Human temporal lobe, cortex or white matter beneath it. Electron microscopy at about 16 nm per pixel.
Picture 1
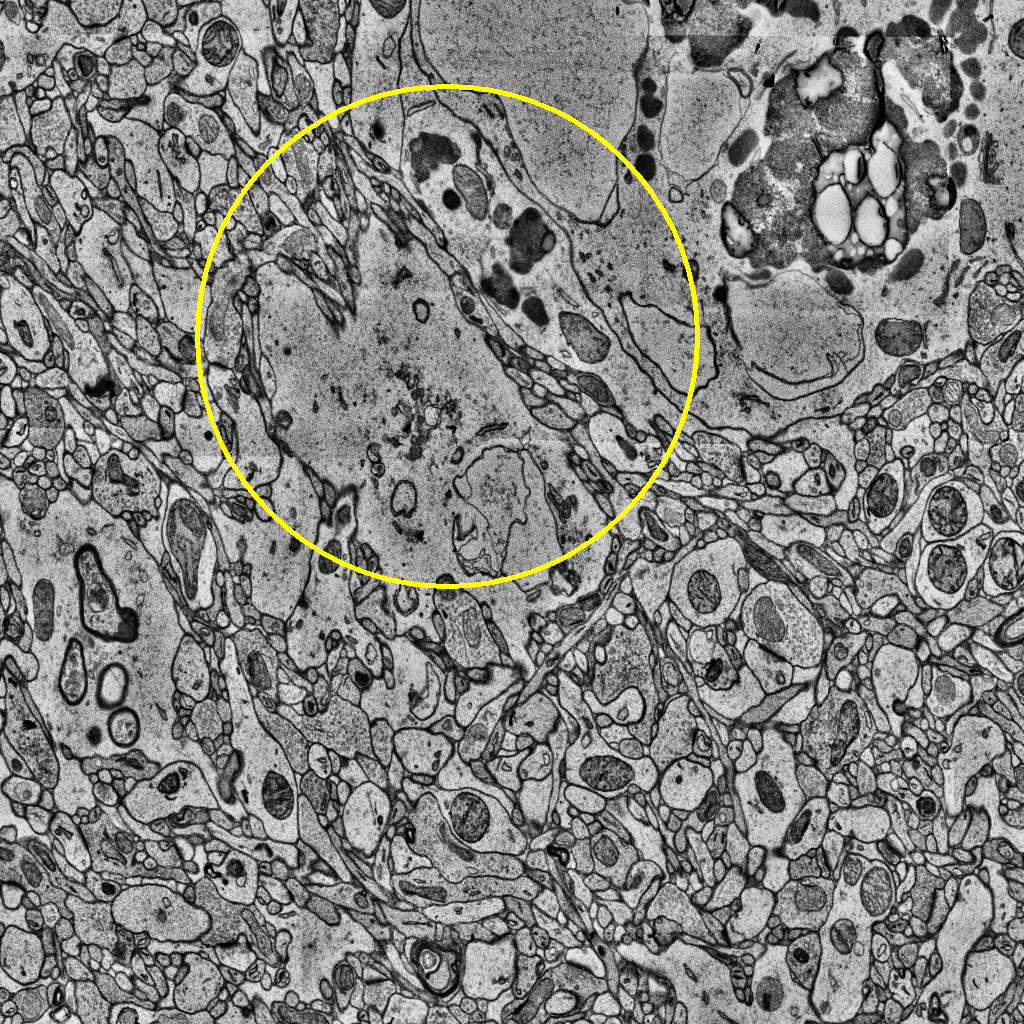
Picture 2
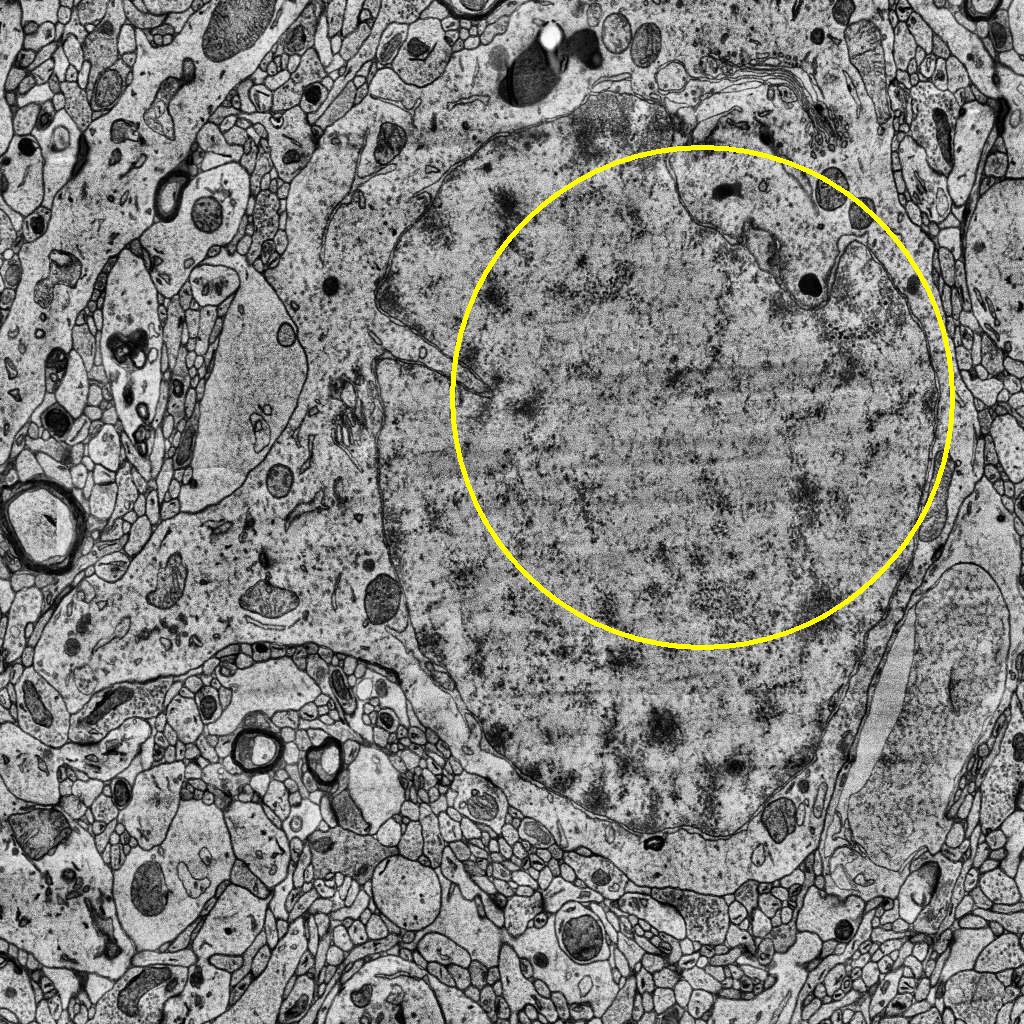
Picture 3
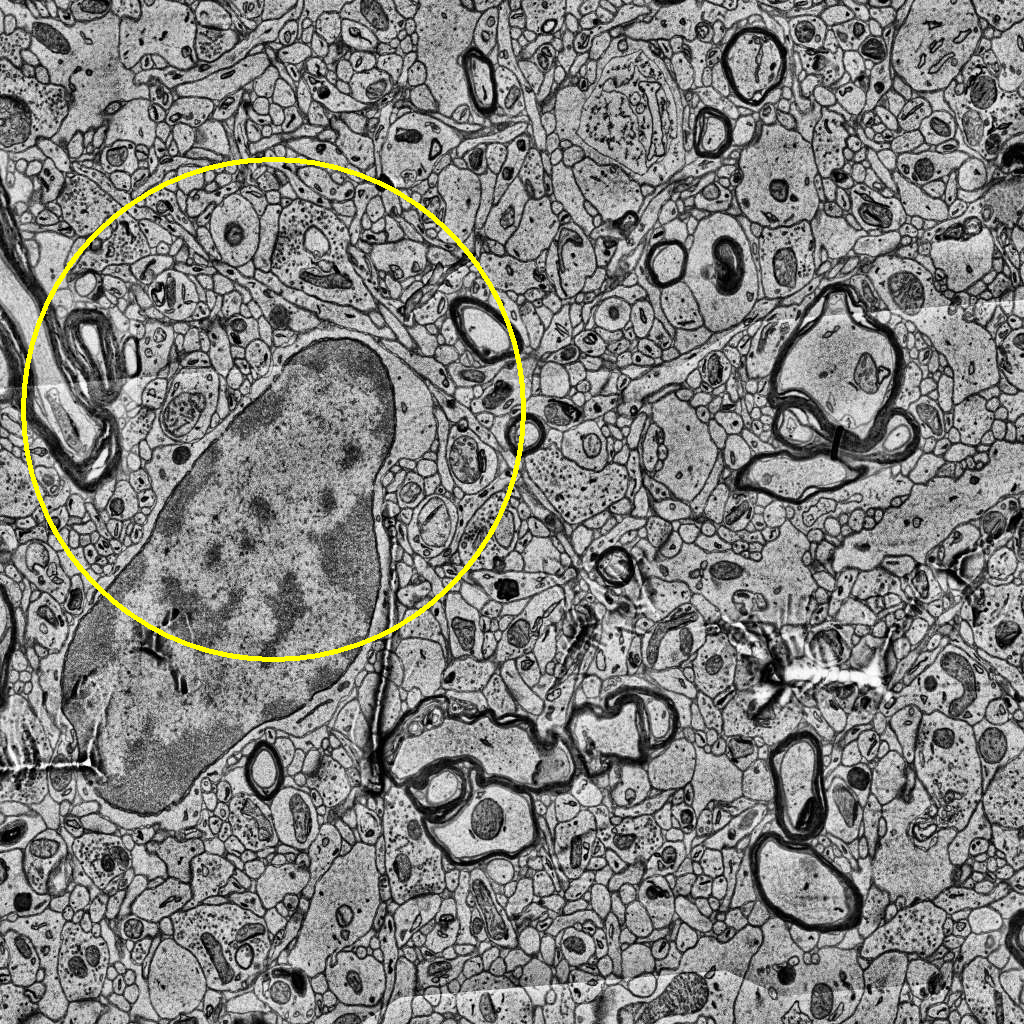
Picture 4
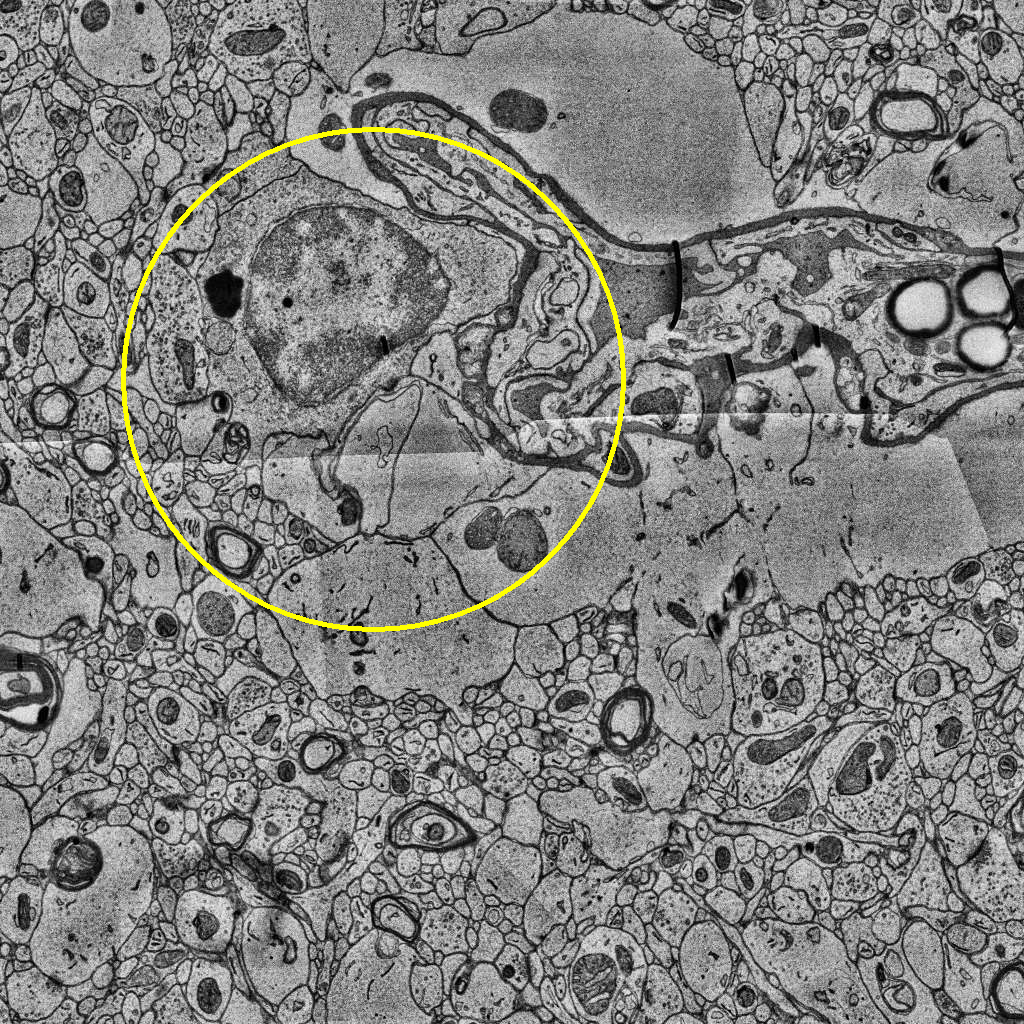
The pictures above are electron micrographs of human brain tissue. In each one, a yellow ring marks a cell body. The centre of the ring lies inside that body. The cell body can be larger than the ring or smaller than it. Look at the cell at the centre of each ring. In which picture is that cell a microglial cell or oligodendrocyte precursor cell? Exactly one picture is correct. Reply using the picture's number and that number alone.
3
